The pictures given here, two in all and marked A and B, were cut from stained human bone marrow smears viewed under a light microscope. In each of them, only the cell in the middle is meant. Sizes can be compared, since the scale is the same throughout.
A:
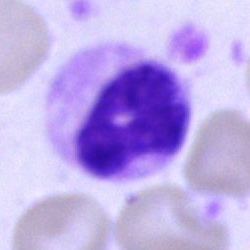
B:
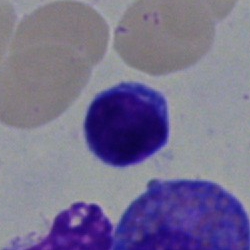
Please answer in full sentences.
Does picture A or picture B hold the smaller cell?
Picture B holds the smaller cell, since the cell in picture A covers about 2.5 times as much area.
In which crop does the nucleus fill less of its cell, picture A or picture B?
The nucleus fills less of the cell in picture A than in picture B.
